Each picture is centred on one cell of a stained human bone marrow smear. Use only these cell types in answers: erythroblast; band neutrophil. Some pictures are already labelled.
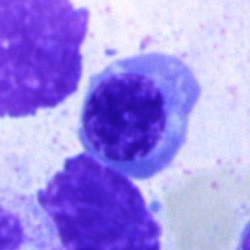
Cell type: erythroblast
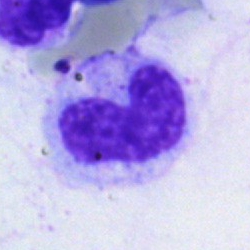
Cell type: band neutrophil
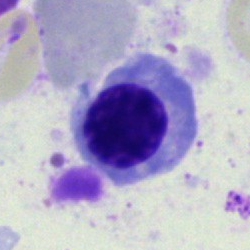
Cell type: erythroblast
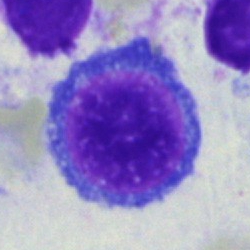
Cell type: erythroblast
